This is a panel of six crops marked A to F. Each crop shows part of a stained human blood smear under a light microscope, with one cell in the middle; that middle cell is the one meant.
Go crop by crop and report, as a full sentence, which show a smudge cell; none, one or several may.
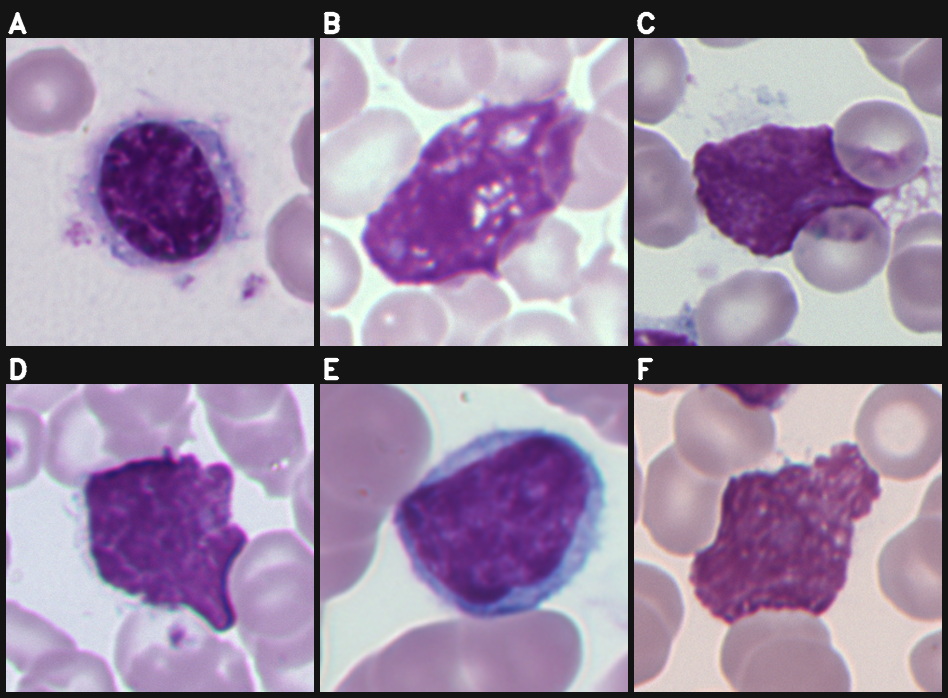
Crops B, C, D and F show smudge cells as their middle cells.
